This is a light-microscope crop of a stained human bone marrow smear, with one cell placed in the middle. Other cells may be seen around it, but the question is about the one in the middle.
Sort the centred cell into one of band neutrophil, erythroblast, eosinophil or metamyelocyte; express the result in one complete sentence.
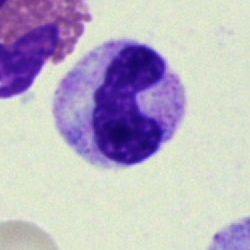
The identification for the central cell is a band neutrophil.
